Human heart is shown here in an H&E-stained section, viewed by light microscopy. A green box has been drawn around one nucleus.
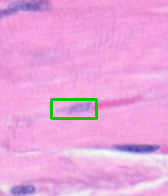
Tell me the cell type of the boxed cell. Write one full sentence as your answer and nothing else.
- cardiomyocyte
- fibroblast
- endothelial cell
The classification of the boxed cell is as an endothelial cell.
